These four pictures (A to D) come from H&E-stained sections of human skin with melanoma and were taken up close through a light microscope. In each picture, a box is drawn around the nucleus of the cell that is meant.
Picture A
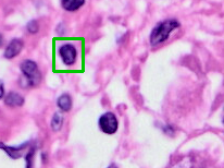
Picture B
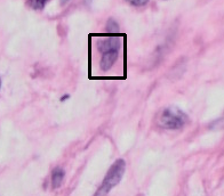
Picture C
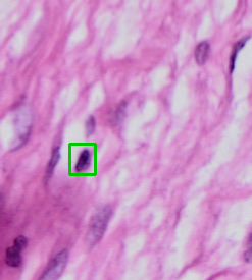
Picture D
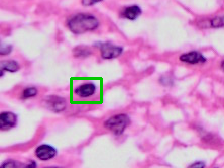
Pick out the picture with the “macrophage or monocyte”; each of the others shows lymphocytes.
B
